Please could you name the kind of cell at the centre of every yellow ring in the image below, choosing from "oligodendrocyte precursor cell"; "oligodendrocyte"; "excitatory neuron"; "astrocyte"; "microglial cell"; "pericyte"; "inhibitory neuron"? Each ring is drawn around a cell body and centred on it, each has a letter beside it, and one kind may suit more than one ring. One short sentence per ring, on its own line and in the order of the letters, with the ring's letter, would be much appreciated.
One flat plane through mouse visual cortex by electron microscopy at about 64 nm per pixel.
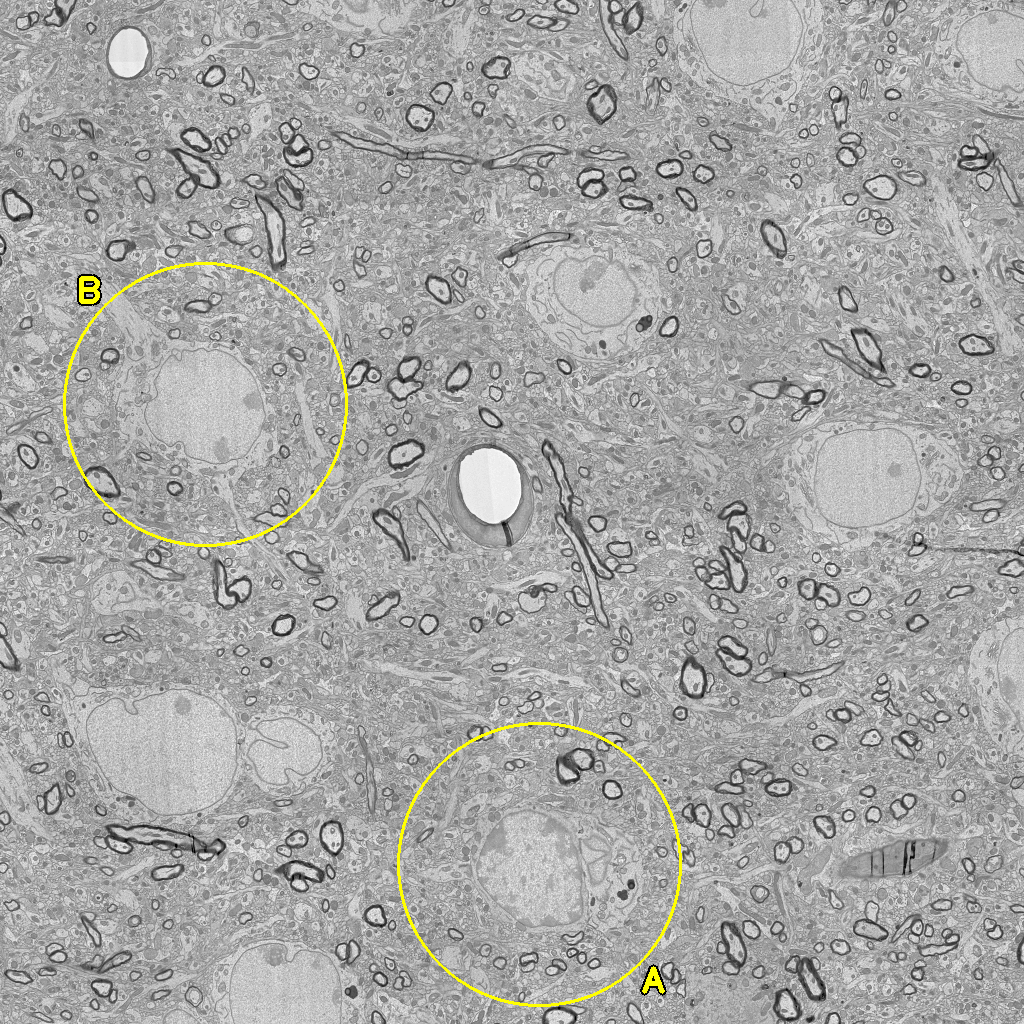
The cell in the middle of ring A is an oligodendrocyte.
The cell in the middle of ring B is an excitatory neuron.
